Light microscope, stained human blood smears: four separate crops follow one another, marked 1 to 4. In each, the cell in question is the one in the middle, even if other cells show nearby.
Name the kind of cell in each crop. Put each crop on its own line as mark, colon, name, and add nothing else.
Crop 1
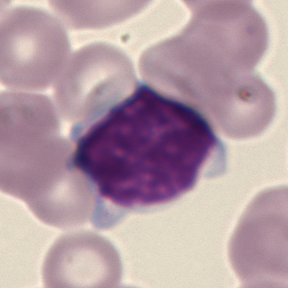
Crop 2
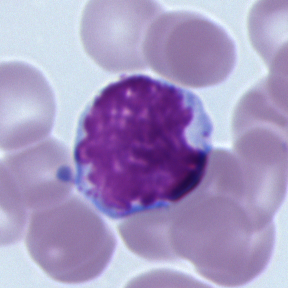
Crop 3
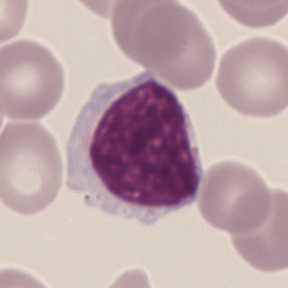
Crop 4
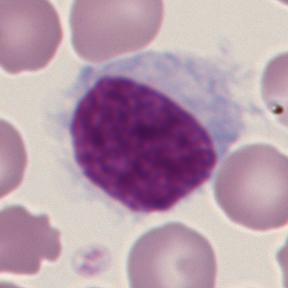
1: large granular lymphocyte
2: large granular lymphocyte
3: large granular lymphocyte
4: hairy cell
